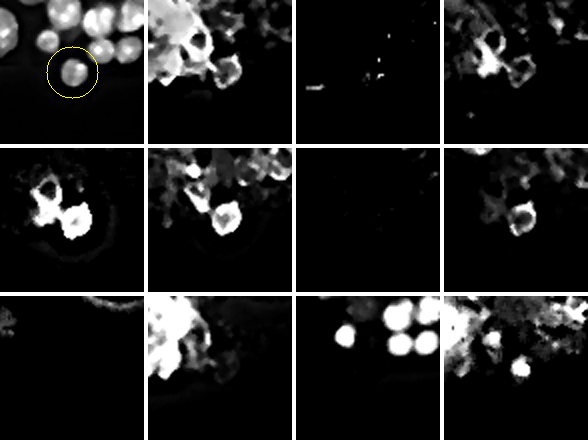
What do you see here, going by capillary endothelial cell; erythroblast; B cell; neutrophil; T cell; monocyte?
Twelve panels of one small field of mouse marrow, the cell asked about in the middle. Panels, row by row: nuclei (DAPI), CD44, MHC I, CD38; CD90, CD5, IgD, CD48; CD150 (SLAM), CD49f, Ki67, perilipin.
I see a T cell.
